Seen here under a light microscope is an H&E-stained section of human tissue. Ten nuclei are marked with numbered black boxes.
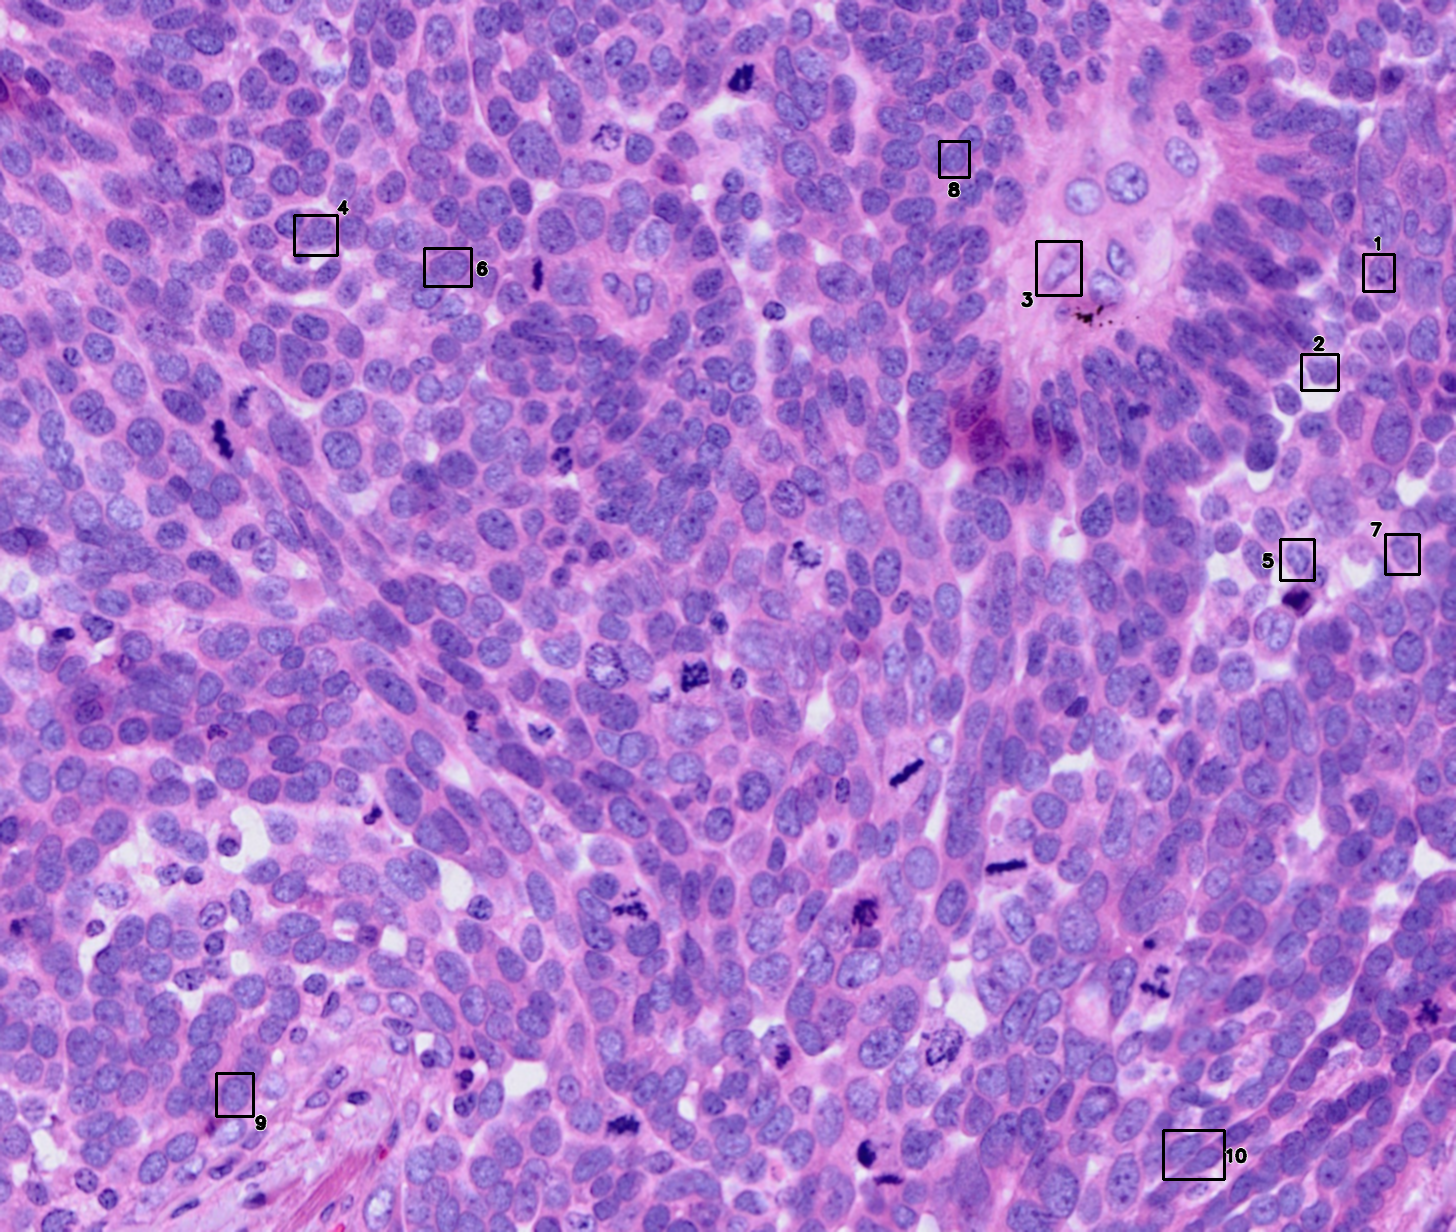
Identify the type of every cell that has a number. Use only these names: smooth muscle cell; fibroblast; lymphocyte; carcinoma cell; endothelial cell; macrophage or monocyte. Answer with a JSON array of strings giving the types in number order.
["macrophage or monocyte", "carcinoma cell", "fibroblast", "carcinoma cell", "macrophage or monocyte", "carcinoma cell", "macrophage or monocyte", "carcinoma cell", "carcinoma cell", "carcinoma cell"]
